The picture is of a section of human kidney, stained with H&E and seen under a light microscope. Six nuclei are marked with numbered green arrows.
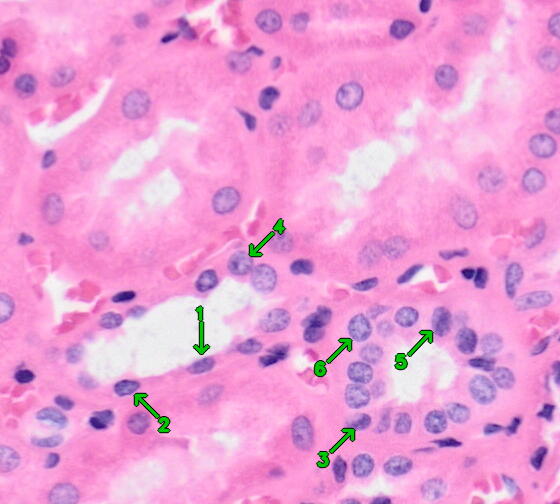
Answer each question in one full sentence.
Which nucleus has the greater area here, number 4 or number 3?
At about 2 times the area of nucleus 3, nucleus 4 is the larger of the two.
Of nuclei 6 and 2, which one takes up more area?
Of the two, number 6 is bigger and takes up about 1.5 times the area of number 2.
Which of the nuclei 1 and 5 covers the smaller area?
Nucleus 1 is the smaller one; nucleus 5 covers about 1.5 times its area.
